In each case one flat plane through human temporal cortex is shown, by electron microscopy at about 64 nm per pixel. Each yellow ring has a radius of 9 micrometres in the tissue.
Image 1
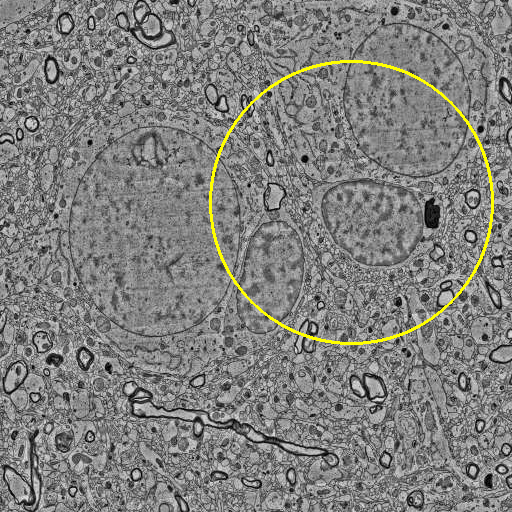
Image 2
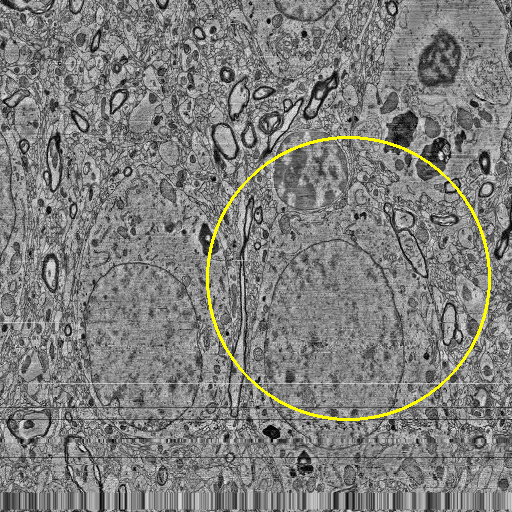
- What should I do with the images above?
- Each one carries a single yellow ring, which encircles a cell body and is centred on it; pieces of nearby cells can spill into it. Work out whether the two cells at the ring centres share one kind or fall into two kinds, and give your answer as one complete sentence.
The ring-centre cells of Image 1 and Image 2 fall into two kinds.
